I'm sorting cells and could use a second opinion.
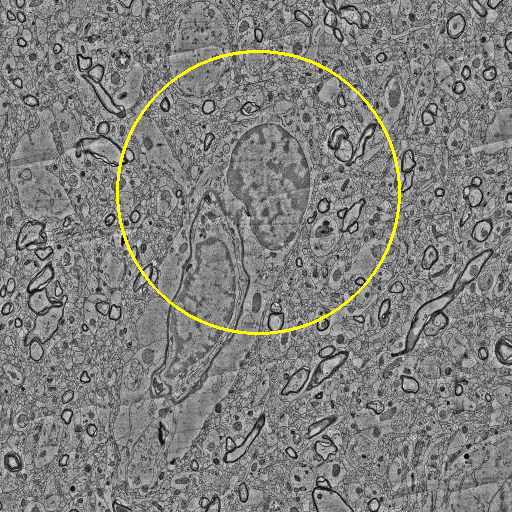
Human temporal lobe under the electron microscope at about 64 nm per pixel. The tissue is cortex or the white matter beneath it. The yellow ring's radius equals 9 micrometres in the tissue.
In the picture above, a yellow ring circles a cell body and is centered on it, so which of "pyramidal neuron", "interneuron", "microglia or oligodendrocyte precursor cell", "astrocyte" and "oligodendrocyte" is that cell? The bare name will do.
microglia or oligodendrocyte precursor cell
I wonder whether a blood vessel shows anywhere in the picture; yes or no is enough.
Yes.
